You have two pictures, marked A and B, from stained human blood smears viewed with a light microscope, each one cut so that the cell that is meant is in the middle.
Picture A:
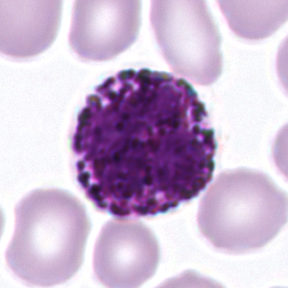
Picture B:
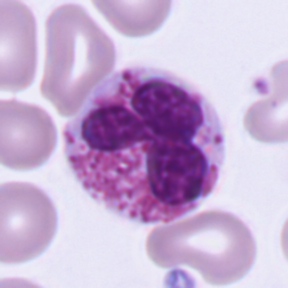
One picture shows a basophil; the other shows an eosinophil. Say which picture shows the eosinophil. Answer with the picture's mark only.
B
